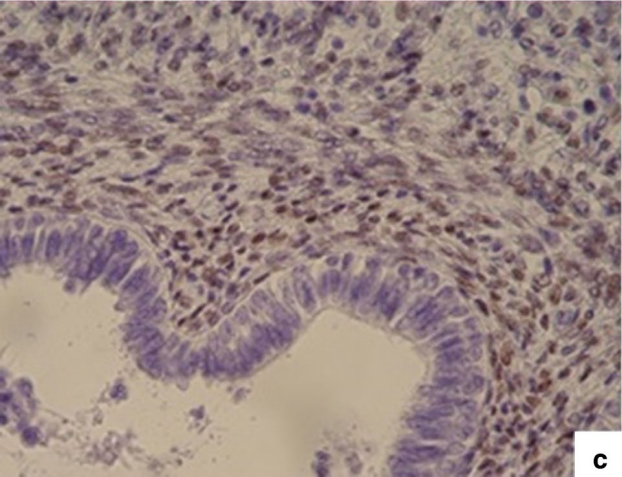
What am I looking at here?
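A gland lined by tall columnar cells curves across the lower part of the field, its nuclei counterstained blue and free of brown. Surrounding it, a dense stroma of oval and spindle-shaped cells shows many nuclei stained brown, while others remain blue. The brown lies in the nuclei, not the cytoplasm, and is concentrated in the stromal cells packed close to the gland. The pattern marks the stromal cell nuclei of endometrial tissue as positive, with the glandular epithelium unstained in this field.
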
